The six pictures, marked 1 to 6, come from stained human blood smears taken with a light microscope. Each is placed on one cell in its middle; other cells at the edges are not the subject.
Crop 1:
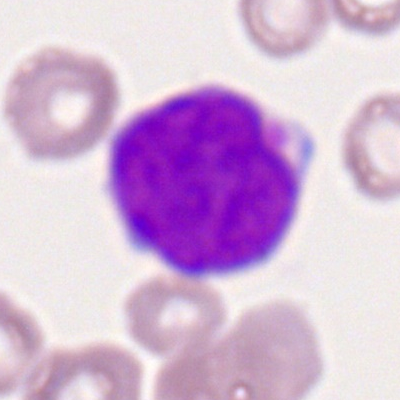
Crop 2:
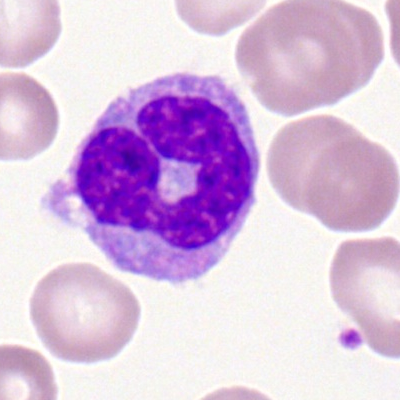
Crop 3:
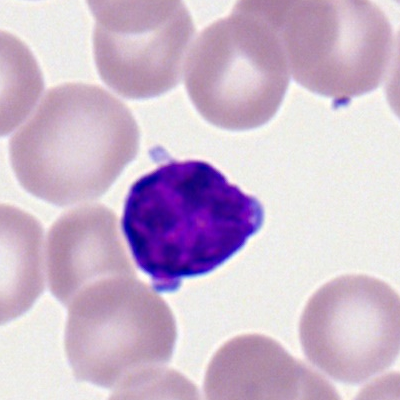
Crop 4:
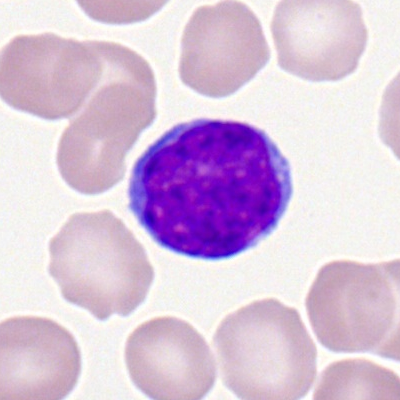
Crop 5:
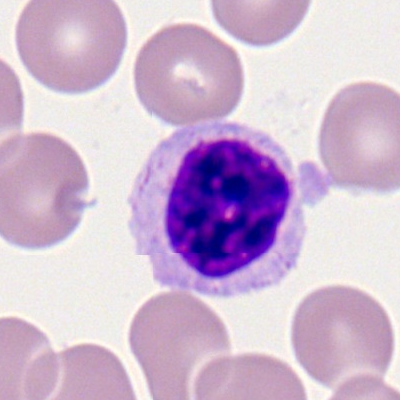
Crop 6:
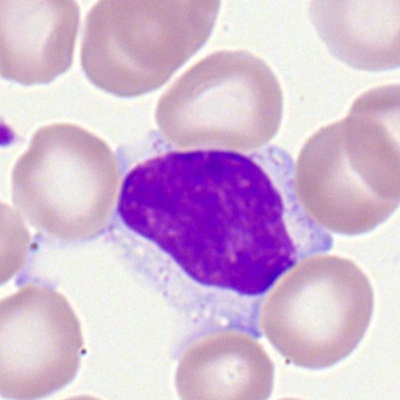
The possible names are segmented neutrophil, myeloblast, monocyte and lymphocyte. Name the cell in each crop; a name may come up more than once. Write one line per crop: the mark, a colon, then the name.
1: myeloblast
2: monocyte
3: lymphocyte
4: lymphocyte
5: lymphocyte
6: lymphocyte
